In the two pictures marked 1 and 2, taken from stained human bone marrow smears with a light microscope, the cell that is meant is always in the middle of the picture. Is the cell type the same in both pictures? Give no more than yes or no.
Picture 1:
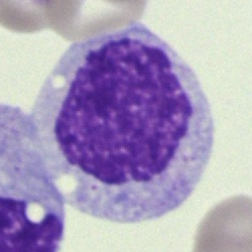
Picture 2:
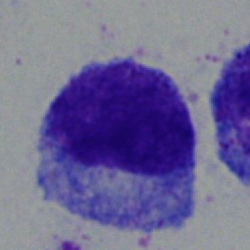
yes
